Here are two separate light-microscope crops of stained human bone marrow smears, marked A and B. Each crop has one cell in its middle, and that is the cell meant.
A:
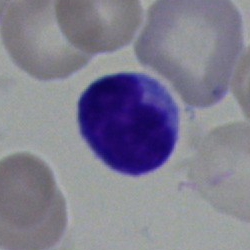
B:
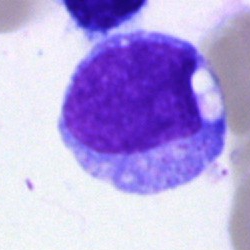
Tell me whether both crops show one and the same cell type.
no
